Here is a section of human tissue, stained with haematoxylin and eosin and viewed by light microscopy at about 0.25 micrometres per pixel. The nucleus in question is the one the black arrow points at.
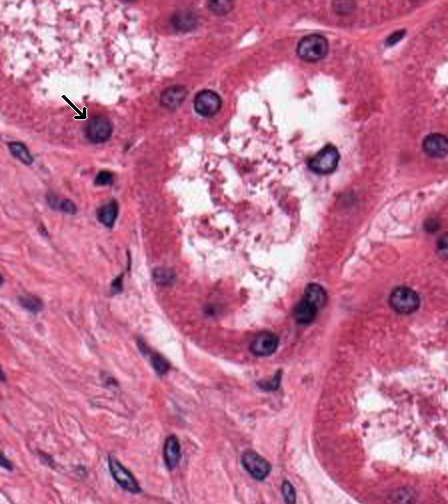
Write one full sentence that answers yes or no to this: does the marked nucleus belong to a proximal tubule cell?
Yes, a proximal tubule cell is the cell to which the marked nucleus belongs.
